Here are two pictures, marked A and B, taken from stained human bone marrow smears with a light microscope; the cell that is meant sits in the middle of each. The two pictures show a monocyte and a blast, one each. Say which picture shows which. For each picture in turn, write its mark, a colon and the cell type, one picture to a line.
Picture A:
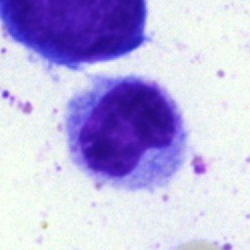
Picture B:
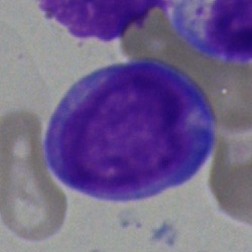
A: monocyte
B: blast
